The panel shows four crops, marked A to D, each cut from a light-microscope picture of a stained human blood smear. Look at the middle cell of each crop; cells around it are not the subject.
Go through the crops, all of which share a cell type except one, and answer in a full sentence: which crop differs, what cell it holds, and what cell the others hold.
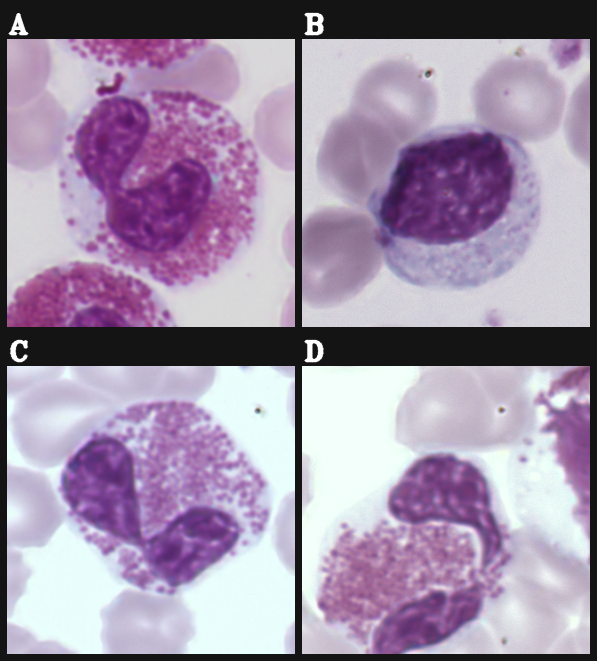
Crop B, showing a myelocyte, is the exception; the others all show eosinophils.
